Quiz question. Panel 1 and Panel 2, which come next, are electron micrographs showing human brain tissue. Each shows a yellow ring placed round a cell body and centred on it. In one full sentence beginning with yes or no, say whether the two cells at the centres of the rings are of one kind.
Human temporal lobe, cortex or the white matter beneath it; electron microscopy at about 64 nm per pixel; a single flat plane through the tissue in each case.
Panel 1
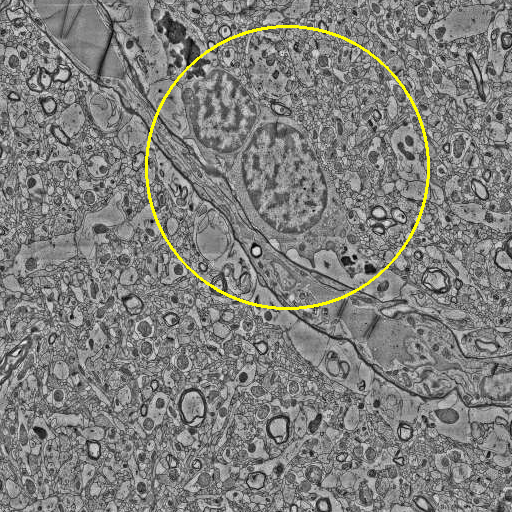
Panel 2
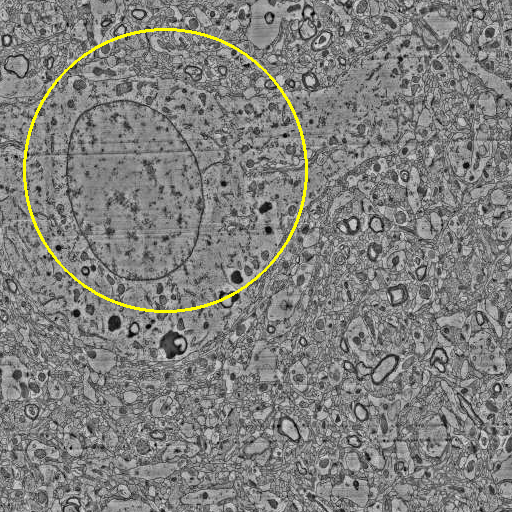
No, Panel 1 and Panel 2 show two kinds of cell at the centre of the ring.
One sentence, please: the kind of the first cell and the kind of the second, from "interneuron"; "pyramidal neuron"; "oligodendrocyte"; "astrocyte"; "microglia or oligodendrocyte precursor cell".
The ring in the first picture surrounds an oligodendrocyte, and the ring in the second surrounds a pyramidal neuron.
